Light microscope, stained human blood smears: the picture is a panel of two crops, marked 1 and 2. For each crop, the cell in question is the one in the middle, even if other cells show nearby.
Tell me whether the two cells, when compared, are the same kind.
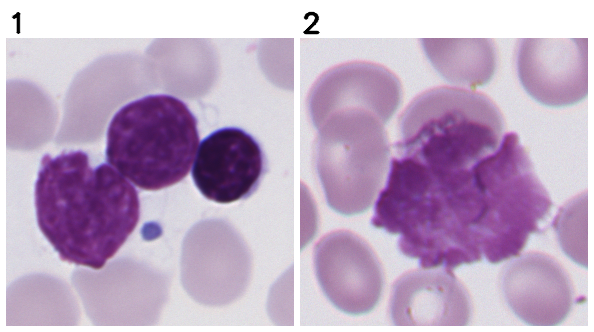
no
